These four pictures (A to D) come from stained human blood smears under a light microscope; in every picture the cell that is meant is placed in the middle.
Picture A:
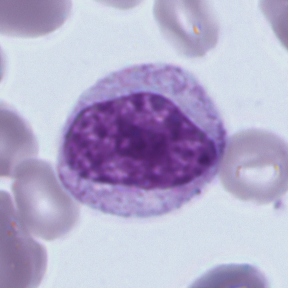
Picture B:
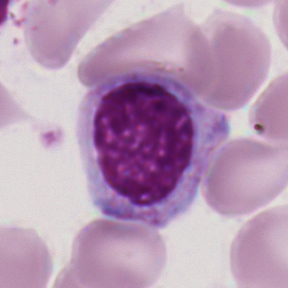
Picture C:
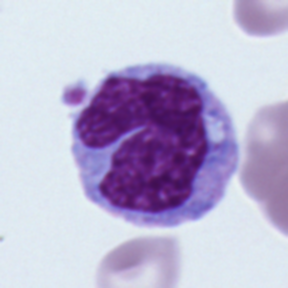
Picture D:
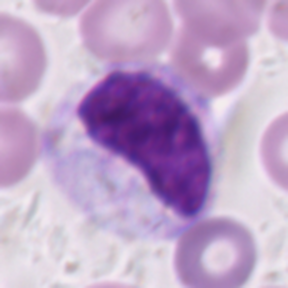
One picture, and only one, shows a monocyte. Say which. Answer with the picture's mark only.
C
